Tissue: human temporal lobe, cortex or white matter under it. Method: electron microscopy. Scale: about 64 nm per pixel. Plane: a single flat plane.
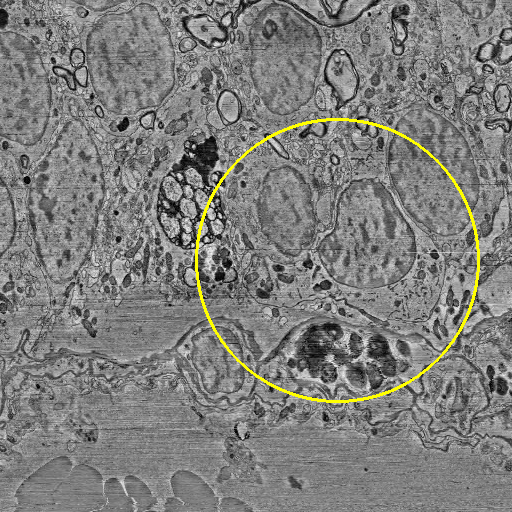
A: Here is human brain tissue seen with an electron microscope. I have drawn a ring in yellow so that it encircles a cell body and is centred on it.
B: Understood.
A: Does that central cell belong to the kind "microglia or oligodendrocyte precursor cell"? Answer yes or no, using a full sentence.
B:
Yes, the central cell inside your yellow ring belongs to that kind.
